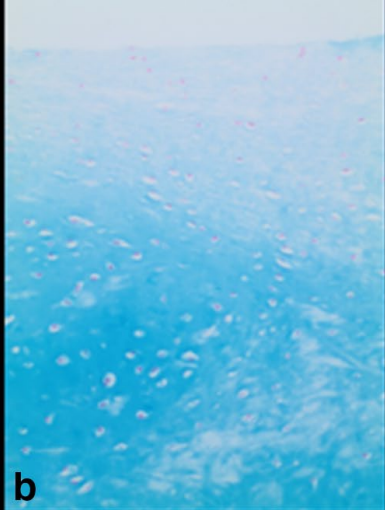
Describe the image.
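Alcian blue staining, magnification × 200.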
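This is cartilage-like tissue. Its matrix is stained bright blue, and rounded cells appear as pale, pinkish spaces scattered through it. In the deeper zone the cells are rounder and sit singly in small clear spaces.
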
